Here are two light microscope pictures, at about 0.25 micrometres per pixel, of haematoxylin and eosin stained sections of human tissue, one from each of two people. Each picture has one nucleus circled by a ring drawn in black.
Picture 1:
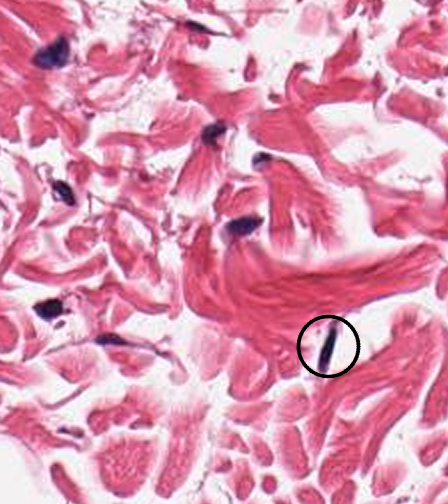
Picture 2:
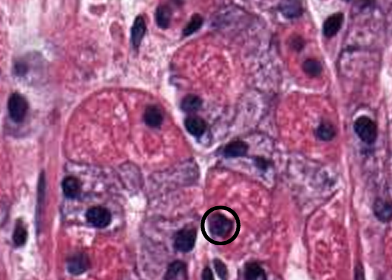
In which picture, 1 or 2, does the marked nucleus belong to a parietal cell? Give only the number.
2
